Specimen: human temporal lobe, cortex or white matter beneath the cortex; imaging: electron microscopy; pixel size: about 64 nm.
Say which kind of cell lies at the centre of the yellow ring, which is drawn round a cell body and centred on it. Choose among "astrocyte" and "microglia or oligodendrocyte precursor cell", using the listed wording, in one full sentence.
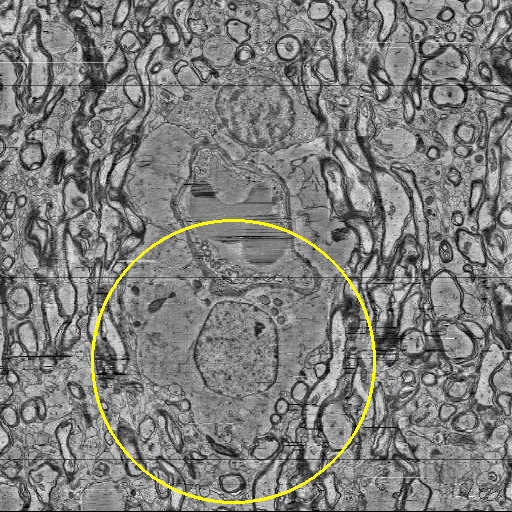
Going by the list, the cell at the yellow ring's centre is an astrocyte.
